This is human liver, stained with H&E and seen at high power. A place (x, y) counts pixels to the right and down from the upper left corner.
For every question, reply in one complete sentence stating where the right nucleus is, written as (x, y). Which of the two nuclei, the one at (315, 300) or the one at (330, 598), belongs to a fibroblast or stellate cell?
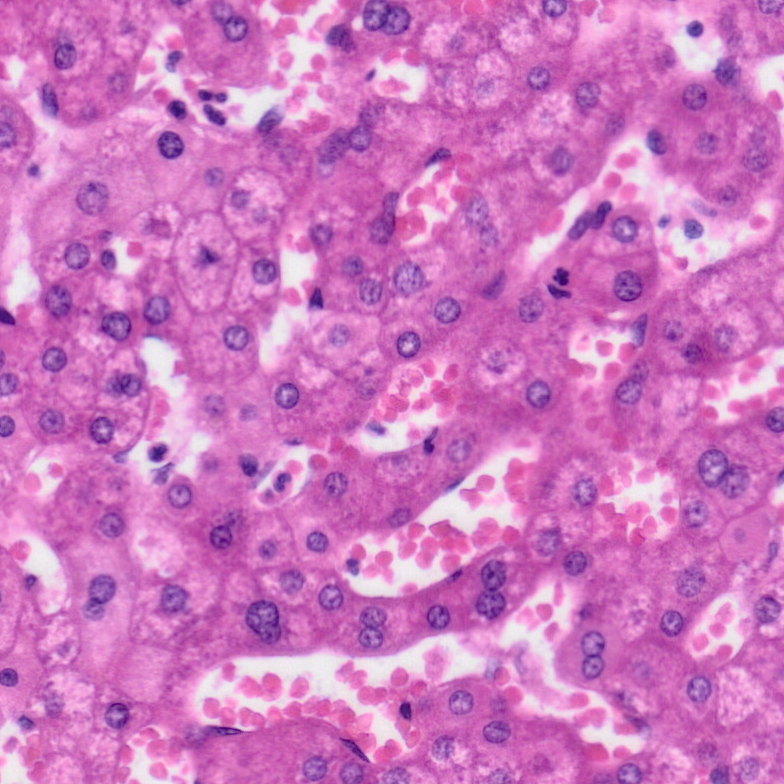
Belonging to a fibroblast or stellate cell is the nucleus at (315, 300).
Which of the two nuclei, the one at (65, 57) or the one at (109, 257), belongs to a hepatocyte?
As for which of the two, the nucleus at (65, 57) belongs to a hepatocyte.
